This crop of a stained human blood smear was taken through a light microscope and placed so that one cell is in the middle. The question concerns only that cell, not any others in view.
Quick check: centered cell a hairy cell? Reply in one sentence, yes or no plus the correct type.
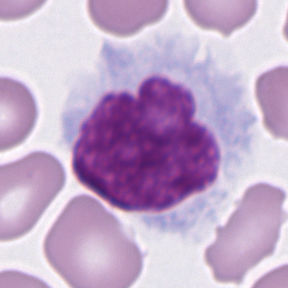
Yes, the middle cell is properly termed a hairy cell.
